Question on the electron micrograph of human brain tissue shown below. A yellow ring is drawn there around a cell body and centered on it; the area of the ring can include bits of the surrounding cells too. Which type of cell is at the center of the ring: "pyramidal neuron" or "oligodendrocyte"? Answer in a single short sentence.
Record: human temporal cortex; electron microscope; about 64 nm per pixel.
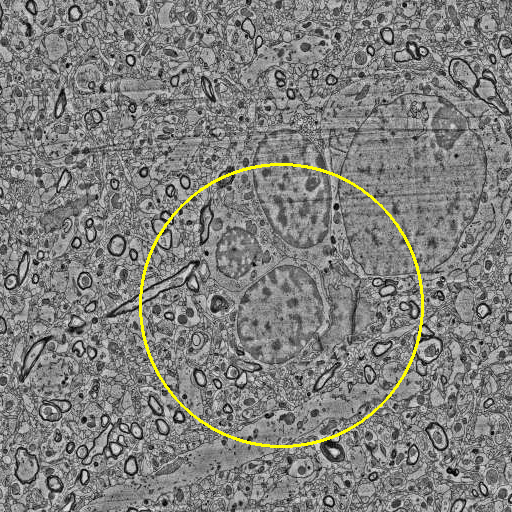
The ring is centered on an oligodendrocyte.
